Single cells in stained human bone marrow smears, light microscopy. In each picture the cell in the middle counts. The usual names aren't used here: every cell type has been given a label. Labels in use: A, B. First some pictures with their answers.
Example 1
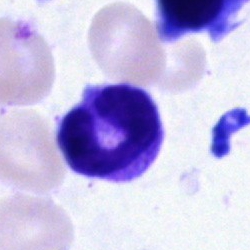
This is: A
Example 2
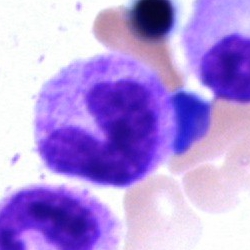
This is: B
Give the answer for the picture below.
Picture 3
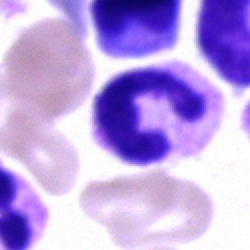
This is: A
